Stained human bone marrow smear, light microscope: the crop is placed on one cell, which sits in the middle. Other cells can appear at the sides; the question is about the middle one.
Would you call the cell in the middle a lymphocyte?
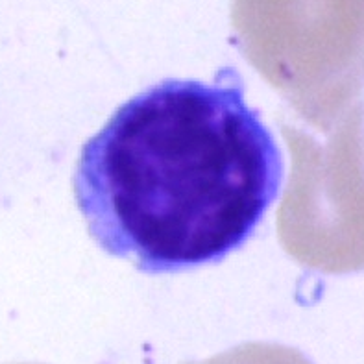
yes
